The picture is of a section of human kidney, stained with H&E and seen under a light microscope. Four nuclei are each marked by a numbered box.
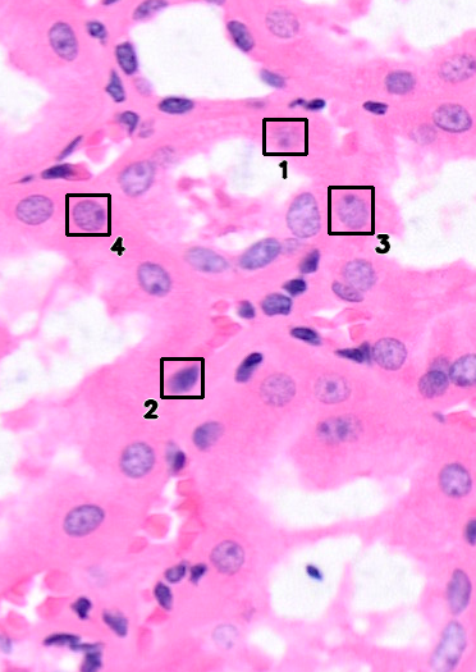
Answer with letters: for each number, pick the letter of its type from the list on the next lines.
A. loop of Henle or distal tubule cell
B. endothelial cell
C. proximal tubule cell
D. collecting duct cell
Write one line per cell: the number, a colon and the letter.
1: C
2: B
3: C
4: C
